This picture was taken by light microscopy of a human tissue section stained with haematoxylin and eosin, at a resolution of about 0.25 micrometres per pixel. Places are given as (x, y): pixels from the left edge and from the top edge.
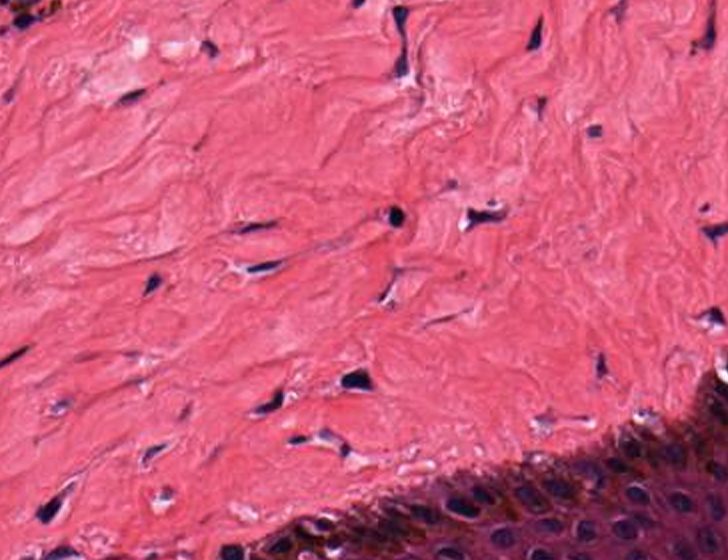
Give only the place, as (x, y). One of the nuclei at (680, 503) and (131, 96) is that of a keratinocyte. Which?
(680, 503)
